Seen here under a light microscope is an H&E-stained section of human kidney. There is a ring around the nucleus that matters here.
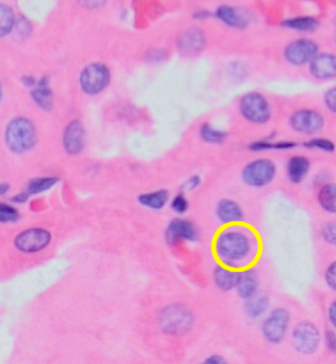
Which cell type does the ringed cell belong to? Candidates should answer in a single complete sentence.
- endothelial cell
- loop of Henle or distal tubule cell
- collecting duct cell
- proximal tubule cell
Within the stained tissue, the ringed cell is a collecting duct cell.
